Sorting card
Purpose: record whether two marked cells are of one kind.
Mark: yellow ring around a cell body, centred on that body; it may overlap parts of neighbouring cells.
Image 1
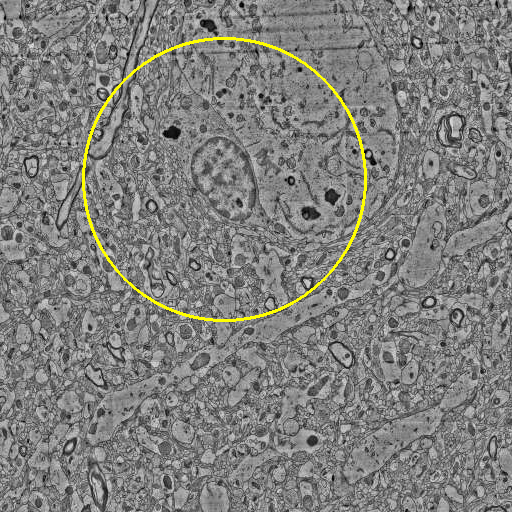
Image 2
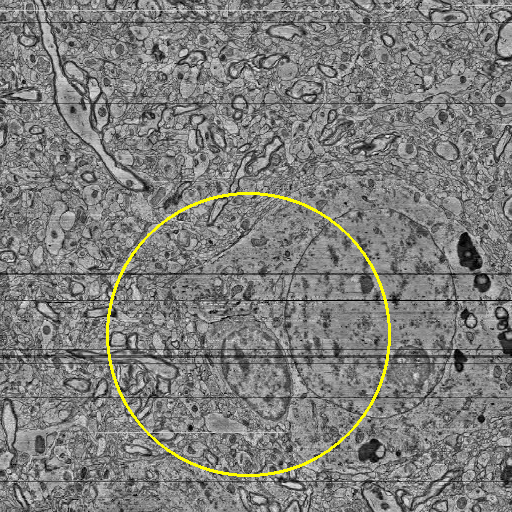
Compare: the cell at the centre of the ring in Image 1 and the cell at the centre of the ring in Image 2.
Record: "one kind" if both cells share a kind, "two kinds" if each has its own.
one kind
